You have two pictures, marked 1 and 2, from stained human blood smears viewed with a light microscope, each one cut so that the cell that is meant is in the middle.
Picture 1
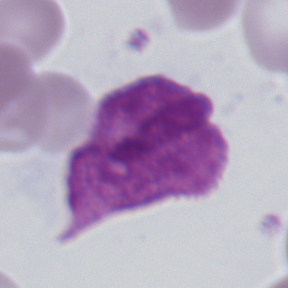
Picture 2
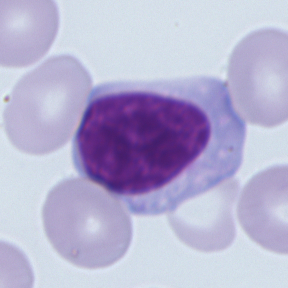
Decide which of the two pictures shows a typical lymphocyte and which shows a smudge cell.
1: smudge cell
2: typical lymphocyte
